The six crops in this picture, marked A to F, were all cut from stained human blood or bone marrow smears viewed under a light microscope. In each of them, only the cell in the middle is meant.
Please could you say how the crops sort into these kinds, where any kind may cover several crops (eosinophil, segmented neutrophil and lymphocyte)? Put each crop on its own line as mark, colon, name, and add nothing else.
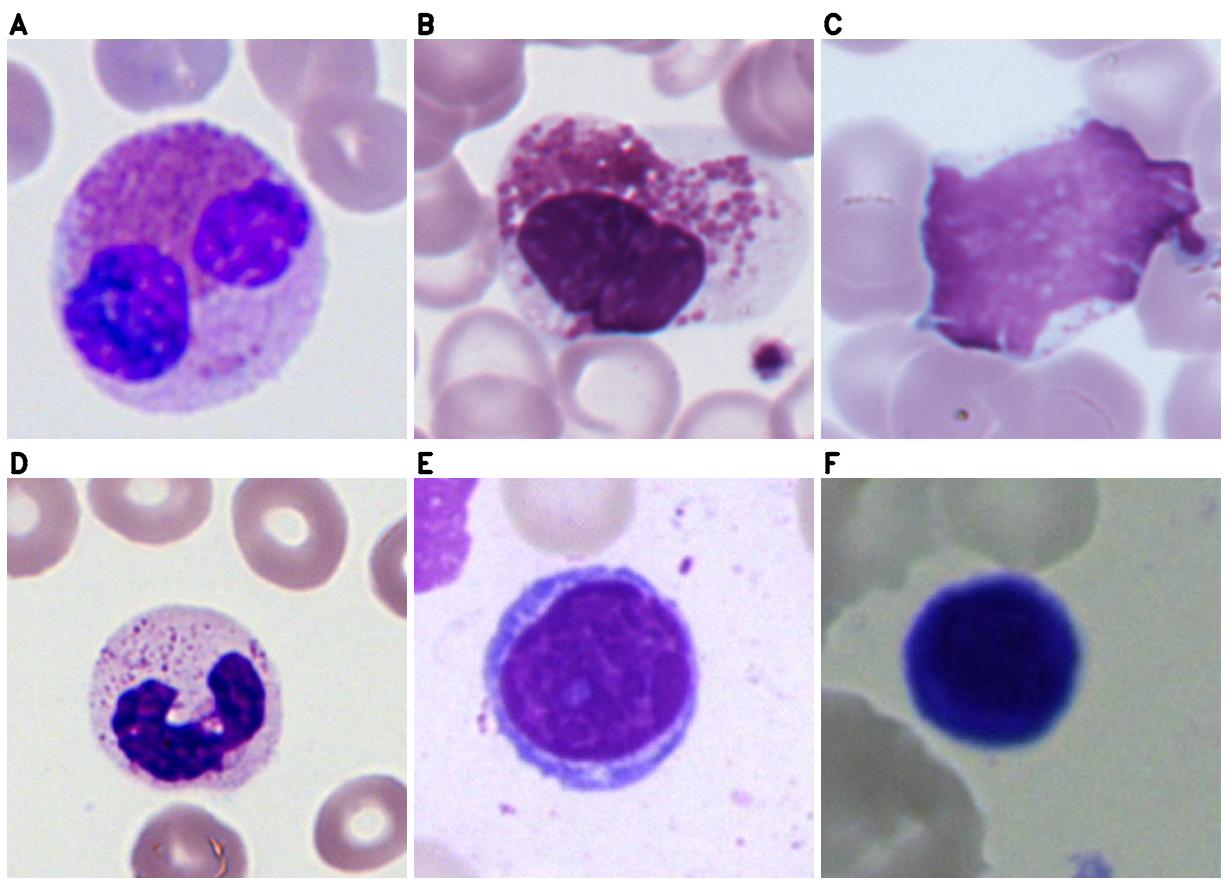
A: eosinophil
B: eosinophil
C: lymphocyte
D: segmented neutrophil
E: lymphocyte
F: lymphocyte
